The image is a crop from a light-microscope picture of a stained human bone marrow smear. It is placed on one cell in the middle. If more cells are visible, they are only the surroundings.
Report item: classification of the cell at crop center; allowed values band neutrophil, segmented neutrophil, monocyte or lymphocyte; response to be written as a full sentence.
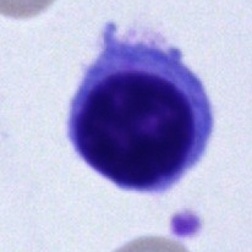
For this crop, the central cell is a lymphocyte.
